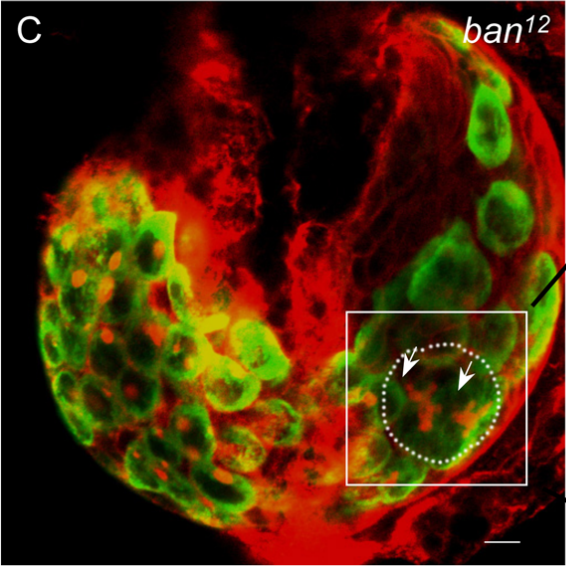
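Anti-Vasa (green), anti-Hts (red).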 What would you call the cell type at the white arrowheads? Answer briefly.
differentiated germ cells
